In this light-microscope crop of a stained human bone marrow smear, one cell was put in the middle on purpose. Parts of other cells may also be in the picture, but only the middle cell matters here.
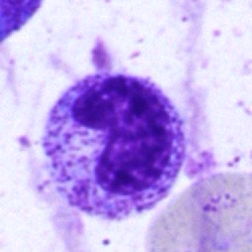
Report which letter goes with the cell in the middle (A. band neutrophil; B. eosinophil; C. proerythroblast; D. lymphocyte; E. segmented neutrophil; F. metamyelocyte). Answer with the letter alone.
F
